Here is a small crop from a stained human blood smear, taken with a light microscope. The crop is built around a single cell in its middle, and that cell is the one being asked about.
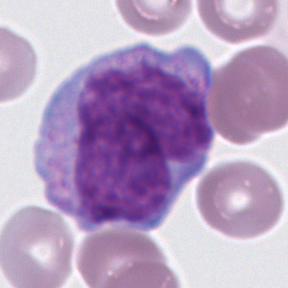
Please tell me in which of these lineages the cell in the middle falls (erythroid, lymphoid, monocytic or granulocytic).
granulocytic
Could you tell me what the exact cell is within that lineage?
atypical promyelocyte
